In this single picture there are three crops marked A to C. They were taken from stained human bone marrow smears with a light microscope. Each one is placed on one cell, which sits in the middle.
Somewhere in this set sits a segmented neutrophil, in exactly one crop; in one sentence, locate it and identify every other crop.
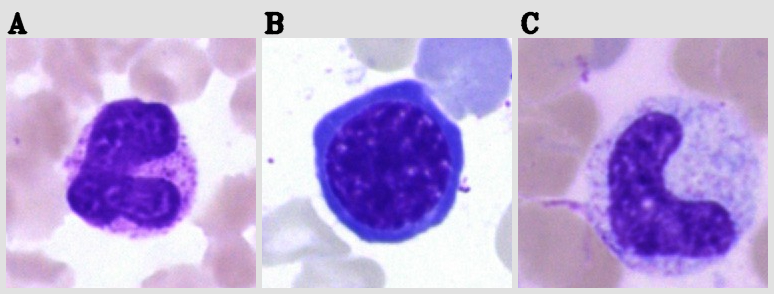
Crop A proves to be a segmented neutrophil, while crop B is an erythroblast and crop C is a band neutrophil.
